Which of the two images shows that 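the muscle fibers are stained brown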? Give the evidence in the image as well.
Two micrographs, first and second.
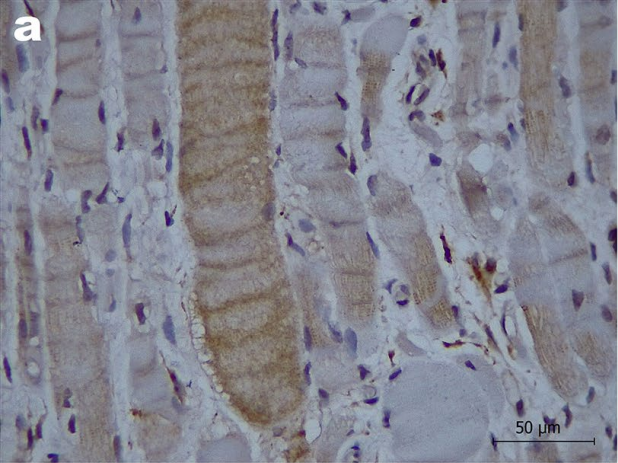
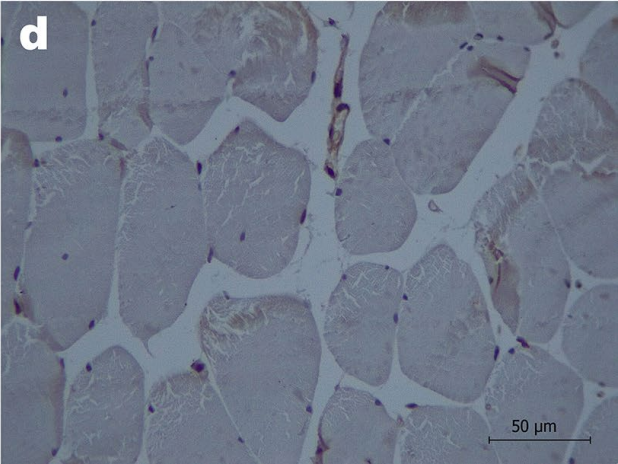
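The first image. First image: several longitudinal striated fibers are distinctly brown.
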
